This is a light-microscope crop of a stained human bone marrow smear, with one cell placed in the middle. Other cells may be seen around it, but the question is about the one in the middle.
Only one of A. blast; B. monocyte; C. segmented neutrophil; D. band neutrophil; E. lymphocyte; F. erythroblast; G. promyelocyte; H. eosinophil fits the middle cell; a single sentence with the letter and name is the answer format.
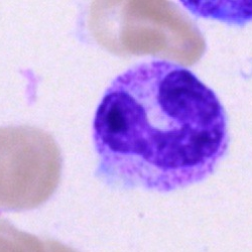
Option D is correct, and the cell in the centre is a band neutrophil.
